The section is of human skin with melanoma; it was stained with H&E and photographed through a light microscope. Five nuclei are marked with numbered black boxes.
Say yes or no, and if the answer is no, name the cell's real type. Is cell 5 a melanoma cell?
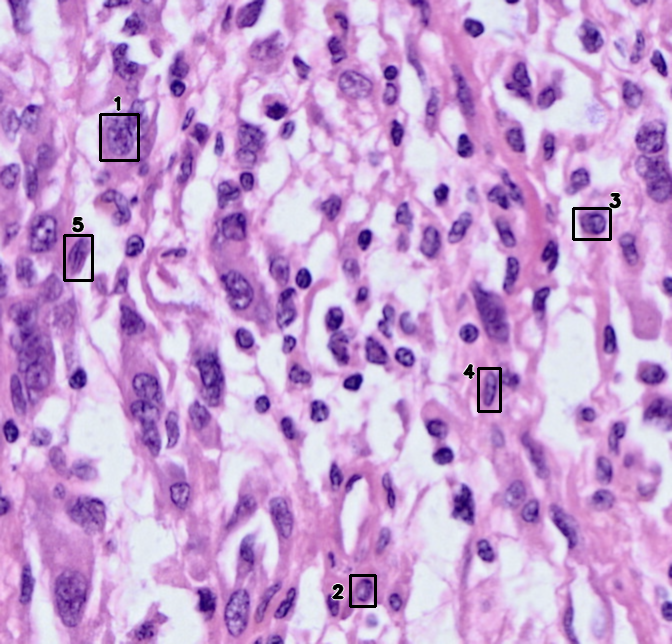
Yes.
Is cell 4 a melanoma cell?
No, it is a macrophage or monocyte.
